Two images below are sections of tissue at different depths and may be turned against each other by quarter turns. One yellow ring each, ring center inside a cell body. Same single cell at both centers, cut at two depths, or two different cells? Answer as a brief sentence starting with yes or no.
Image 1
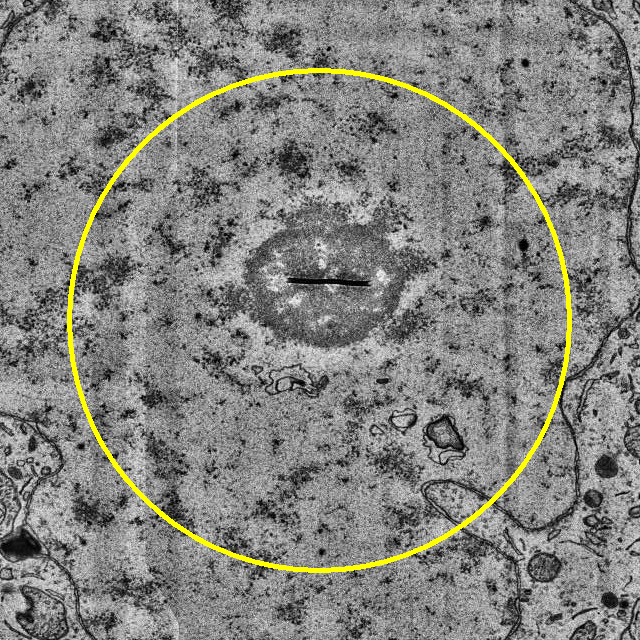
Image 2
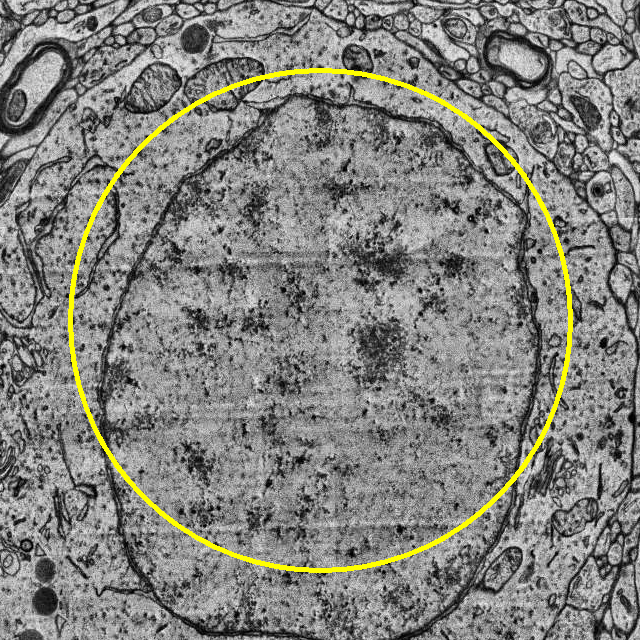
No, these yellow rings each mark a separate cell.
